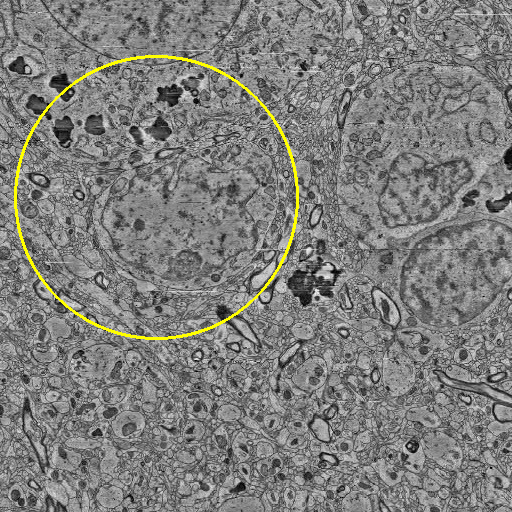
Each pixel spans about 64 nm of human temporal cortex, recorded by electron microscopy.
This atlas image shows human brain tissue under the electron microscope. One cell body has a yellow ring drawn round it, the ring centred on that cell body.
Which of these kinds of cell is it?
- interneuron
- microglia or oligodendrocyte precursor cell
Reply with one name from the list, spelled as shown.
interneuron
